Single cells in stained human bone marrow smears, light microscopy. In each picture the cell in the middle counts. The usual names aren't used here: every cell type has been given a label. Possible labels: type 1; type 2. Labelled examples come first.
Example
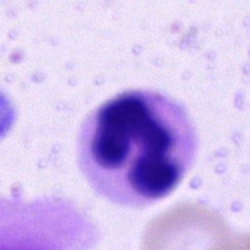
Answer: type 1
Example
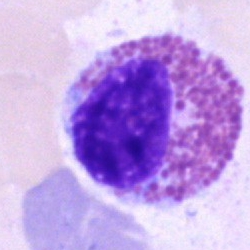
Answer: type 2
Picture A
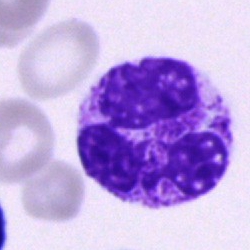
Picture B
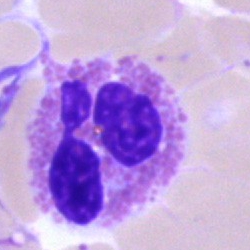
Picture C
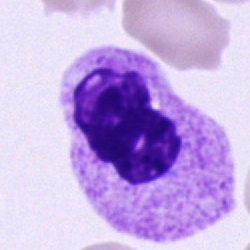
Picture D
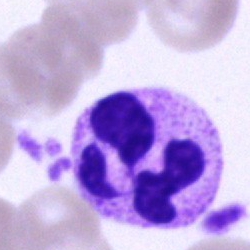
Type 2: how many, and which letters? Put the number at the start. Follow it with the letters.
Count: 1 (B)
